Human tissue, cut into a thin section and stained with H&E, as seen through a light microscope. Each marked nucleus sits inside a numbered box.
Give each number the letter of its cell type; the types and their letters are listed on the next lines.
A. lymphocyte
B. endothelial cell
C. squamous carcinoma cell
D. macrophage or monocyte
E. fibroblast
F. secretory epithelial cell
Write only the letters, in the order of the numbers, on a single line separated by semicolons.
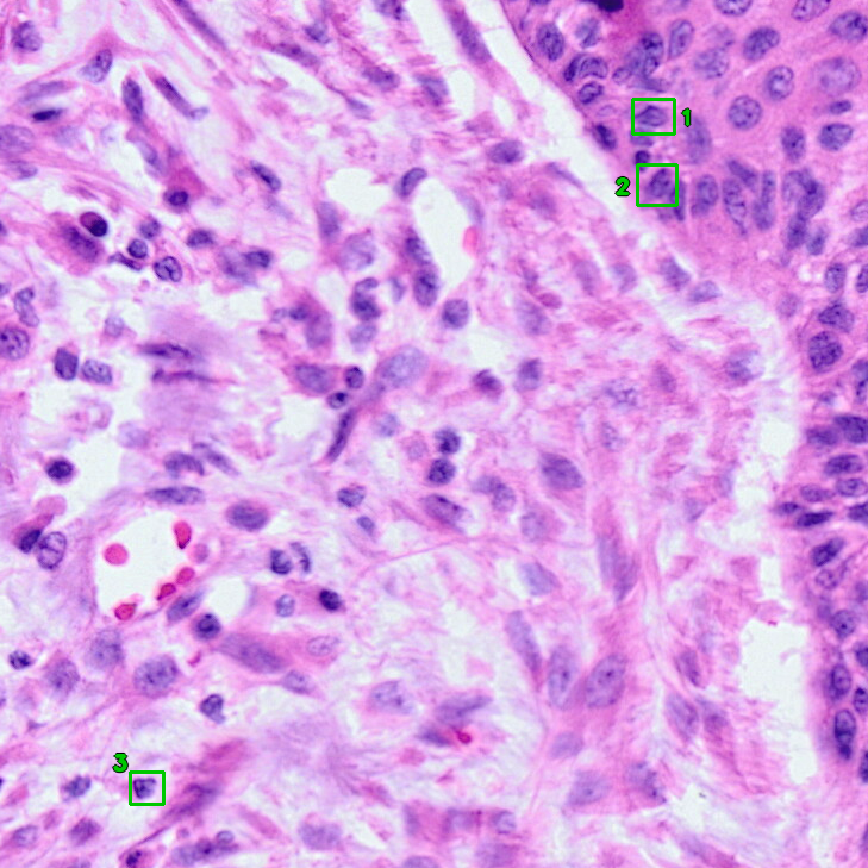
C; C; A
